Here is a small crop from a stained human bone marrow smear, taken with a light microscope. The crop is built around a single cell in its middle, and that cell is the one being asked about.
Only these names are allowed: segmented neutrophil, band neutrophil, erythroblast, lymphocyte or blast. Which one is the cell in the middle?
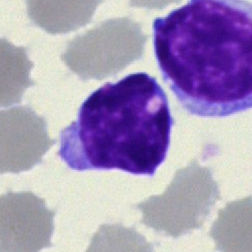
lymphocyte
